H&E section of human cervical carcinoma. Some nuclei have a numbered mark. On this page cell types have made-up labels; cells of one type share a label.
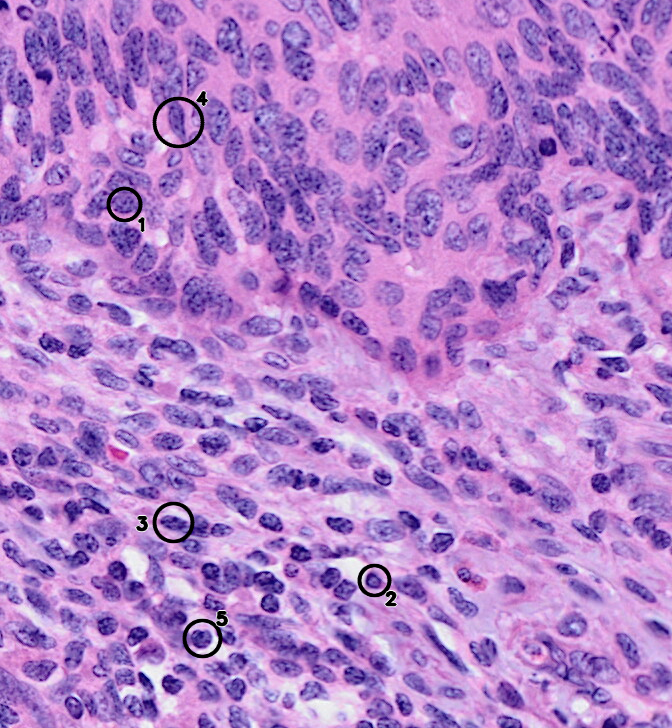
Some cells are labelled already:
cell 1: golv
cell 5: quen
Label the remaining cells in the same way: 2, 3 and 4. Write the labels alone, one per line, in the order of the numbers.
quen
quen
golv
